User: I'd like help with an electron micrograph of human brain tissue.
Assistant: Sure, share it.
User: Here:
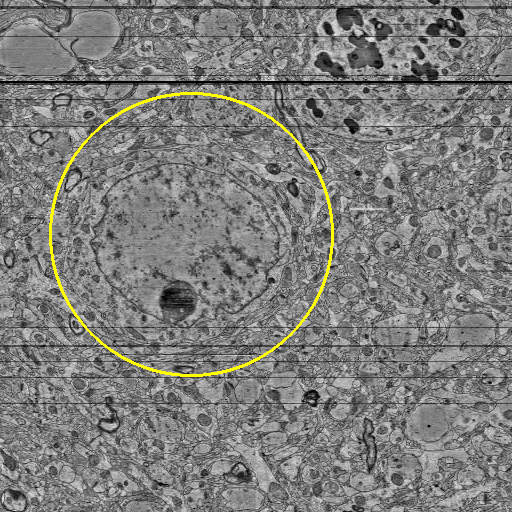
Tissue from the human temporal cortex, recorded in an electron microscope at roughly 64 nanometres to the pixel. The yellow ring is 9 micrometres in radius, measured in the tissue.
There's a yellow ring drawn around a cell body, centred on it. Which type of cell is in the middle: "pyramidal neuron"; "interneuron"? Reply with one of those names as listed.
pyramidal neuron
